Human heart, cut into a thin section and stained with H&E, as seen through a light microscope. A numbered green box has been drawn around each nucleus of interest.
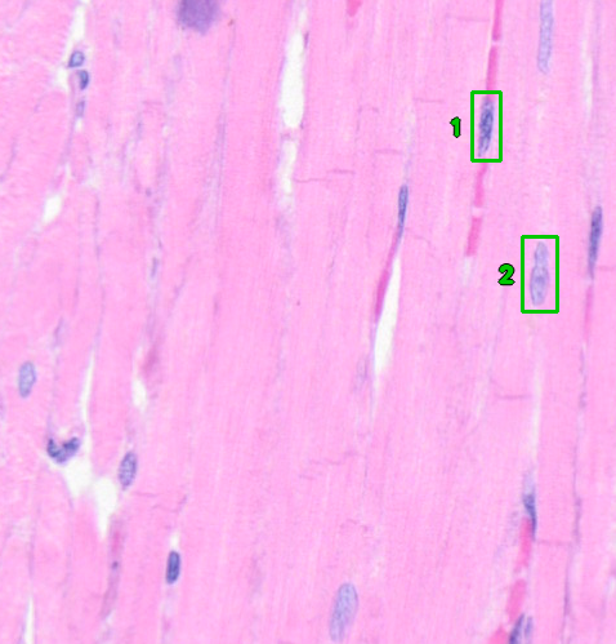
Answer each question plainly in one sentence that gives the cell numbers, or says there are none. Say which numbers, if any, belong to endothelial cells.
Only one of the numbered nuclei, number 1, belongs to an endothelial cell.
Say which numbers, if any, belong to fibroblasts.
In this field, none of the numbered cells are fibroblasts.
